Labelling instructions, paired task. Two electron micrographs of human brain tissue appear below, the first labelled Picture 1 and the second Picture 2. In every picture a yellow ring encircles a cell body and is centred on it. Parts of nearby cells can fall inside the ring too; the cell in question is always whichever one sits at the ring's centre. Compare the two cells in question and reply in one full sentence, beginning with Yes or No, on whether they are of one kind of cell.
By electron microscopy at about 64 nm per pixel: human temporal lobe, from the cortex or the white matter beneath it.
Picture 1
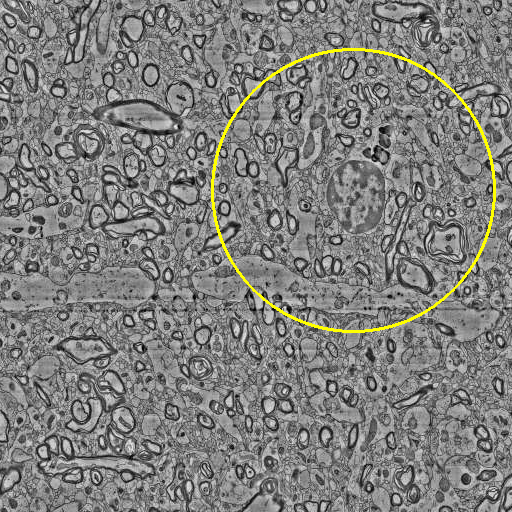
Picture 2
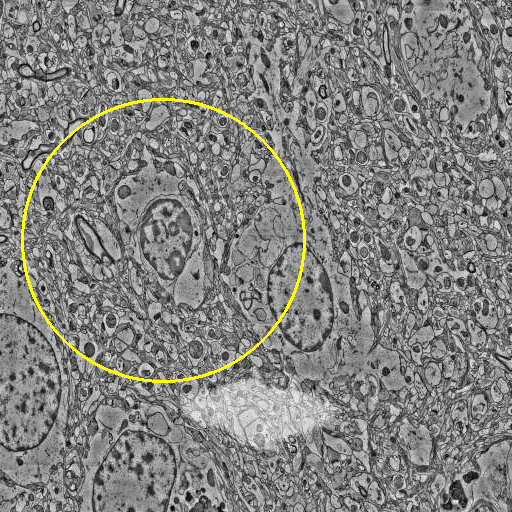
Yes, the two cells at the ring centres in Picture 1 and Picture 2 are of one kind.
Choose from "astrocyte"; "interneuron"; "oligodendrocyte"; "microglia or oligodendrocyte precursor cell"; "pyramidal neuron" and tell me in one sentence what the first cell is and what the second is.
In each picture the ringed cell is a microglial cell or oligodendrocyte precursor cell.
